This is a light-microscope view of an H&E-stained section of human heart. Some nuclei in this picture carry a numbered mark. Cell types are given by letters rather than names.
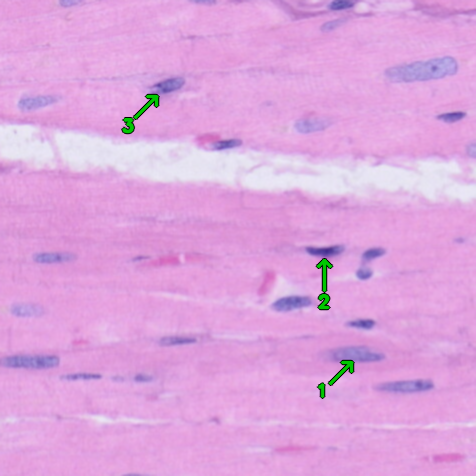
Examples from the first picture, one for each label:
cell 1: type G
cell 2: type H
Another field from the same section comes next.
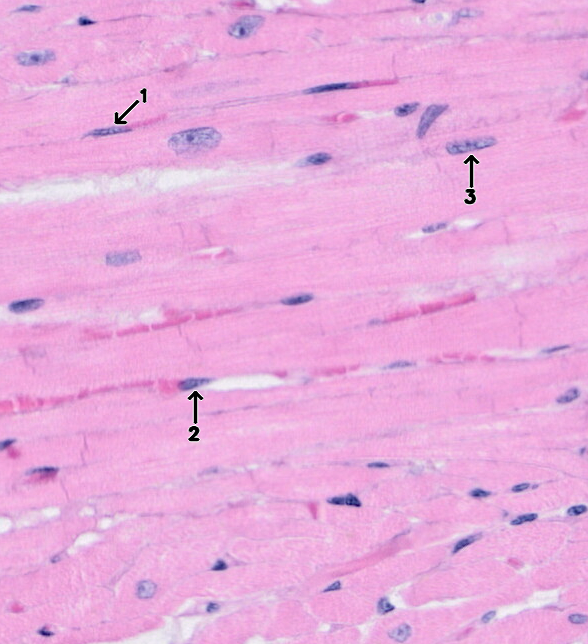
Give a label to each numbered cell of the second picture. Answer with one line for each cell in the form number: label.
1: type H
2: type H
3: type G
